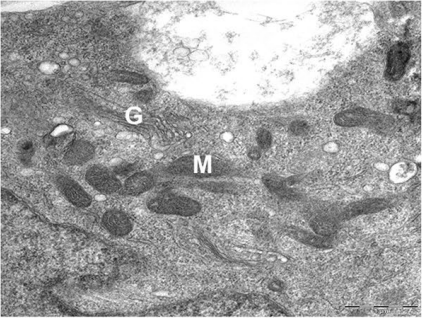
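Transmission electron micrograph of a cell's cytoplasm crowded with mitochondria and membranes. Many mitochondria, oval to elongated, have a dark, dense matrix and are scattered through the field, some lying in small clusters. Near the upper left a Golgi complex shows stacked, flattened cisternae with small vesicles beside it. At the top a large pale region holds loose, wispy material.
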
